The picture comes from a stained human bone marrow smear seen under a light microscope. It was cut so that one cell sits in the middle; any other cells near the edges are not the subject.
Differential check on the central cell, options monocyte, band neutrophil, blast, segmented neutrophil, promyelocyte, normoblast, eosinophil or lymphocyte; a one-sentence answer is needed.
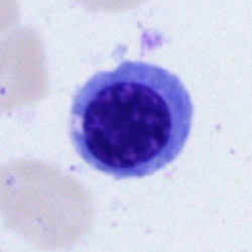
In the centre of this crop there is a normoblast.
